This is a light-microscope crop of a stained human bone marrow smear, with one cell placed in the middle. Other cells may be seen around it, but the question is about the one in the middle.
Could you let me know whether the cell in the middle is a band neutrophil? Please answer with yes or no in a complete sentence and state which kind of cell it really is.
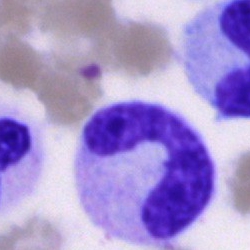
Yes, the cell found in the middle is a band neutrophil.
